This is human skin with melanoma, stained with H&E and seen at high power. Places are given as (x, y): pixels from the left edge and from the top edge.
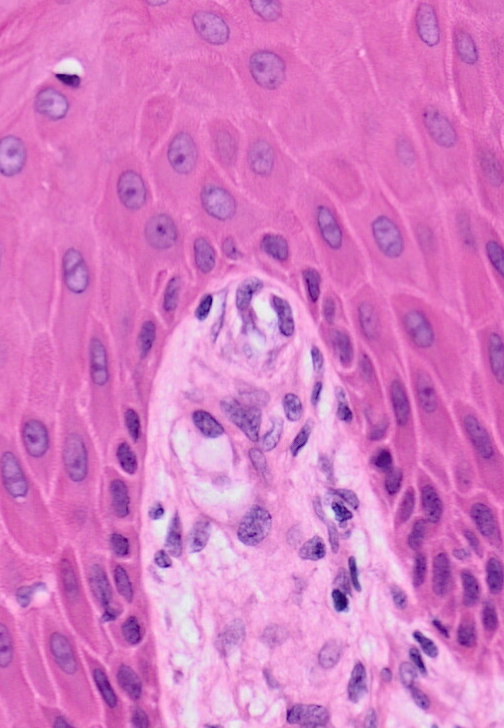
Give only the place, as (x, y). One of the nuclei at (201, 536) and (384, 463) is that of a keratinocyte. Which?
(384, 463)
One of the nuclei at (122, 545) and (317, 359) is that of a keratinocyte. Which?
(122, 545)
